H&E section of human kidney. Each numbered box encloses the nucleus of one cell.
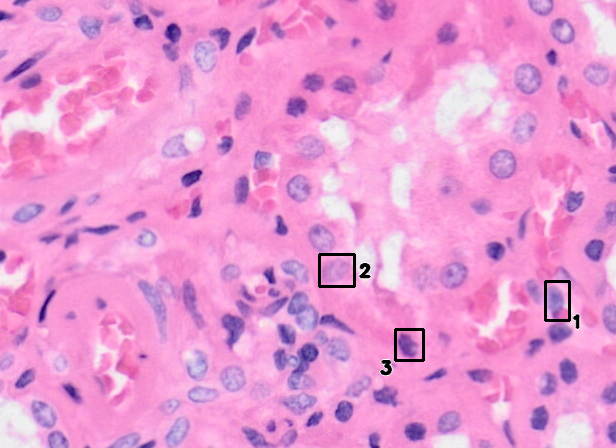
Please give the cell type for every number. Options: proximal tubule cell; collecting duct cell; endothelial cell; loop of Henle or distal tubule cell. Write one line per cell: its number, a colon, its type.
1: endothelial cell
2: proximal tubule cell
3: proximal tubule cell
